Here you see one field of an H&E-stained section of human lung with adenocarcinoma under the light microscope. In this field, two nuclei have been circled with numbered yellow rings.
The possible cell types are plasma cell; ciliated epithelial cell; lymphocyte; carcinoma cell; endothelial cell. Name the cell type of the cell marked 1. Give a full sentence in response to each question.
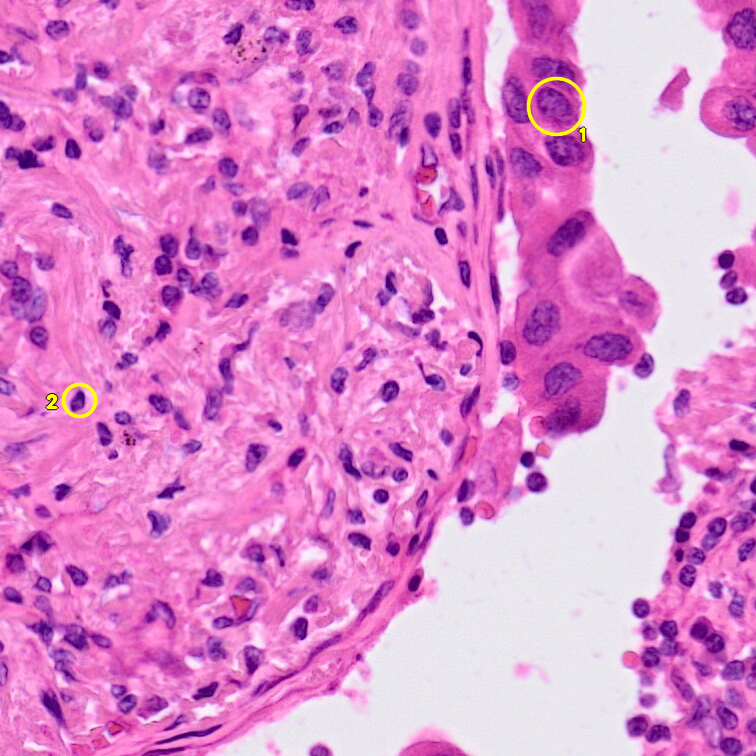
At number 1, the marked cell is a carcinoma cell.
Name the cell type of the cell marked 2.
Marked with the number 2, this cell is a lymphocyte.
